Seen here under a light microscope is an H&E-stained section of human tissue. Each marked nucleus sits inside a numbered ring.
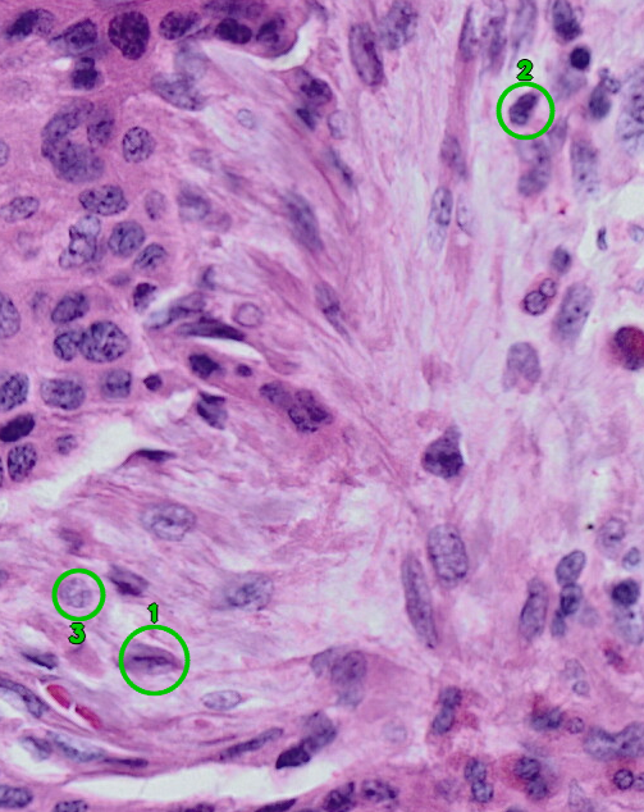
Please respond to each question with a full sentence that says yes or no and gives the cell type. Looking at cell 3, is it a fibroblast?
Yes, on this slide, the cell with number 3 is a fibroblast.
